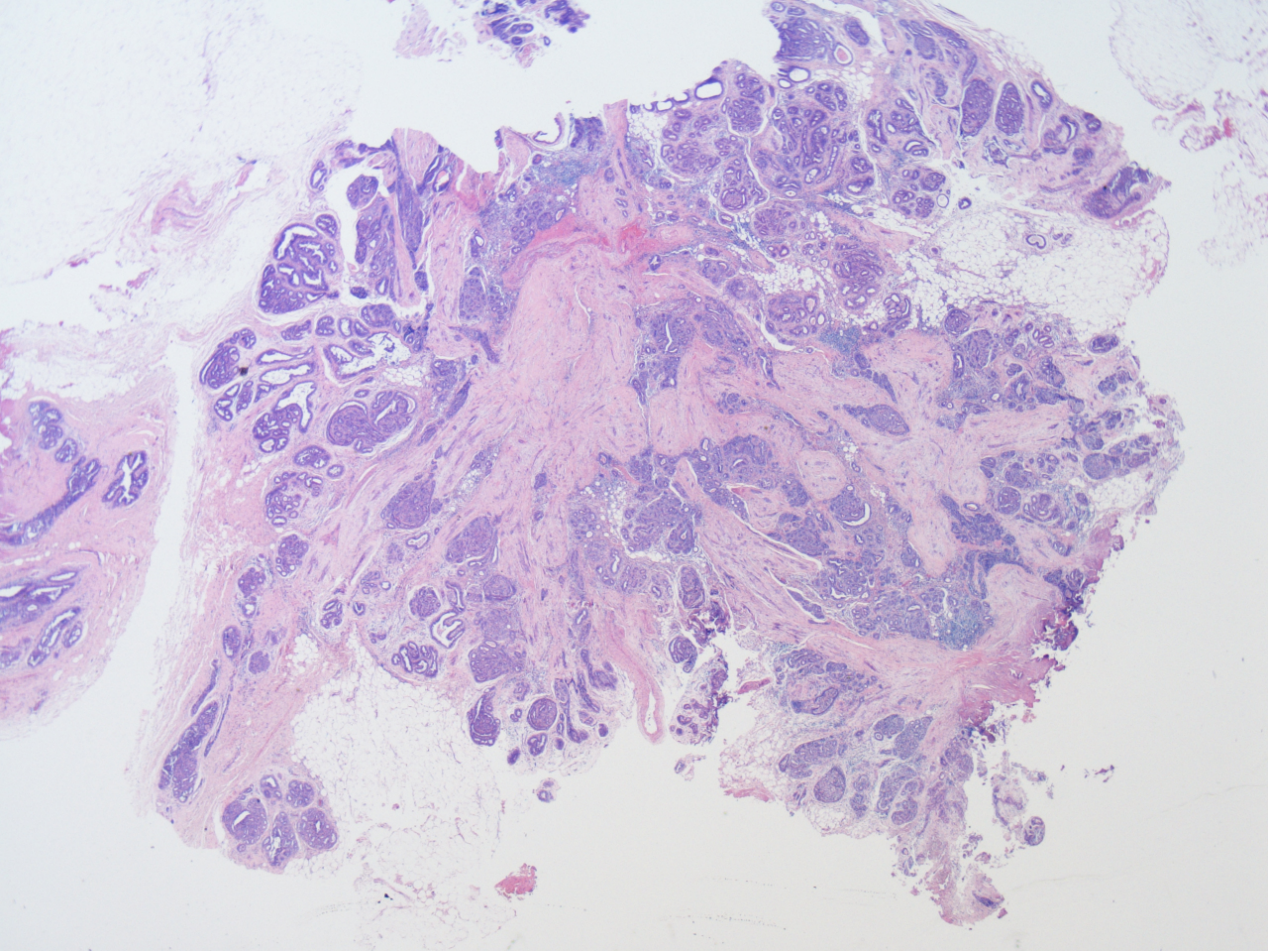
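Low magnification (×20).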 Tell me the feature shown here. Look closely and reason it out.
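Radiating islands of tissue rich in parenchymal structures. Clusters of purple glandular units are arranged at the periphery around the fibrous centre. Pink fibrous strands extend outward between the glandular clusters in a roughly star-like pattern.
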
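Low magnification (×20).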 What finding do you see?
Sclerosing lesion with central fibrosis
